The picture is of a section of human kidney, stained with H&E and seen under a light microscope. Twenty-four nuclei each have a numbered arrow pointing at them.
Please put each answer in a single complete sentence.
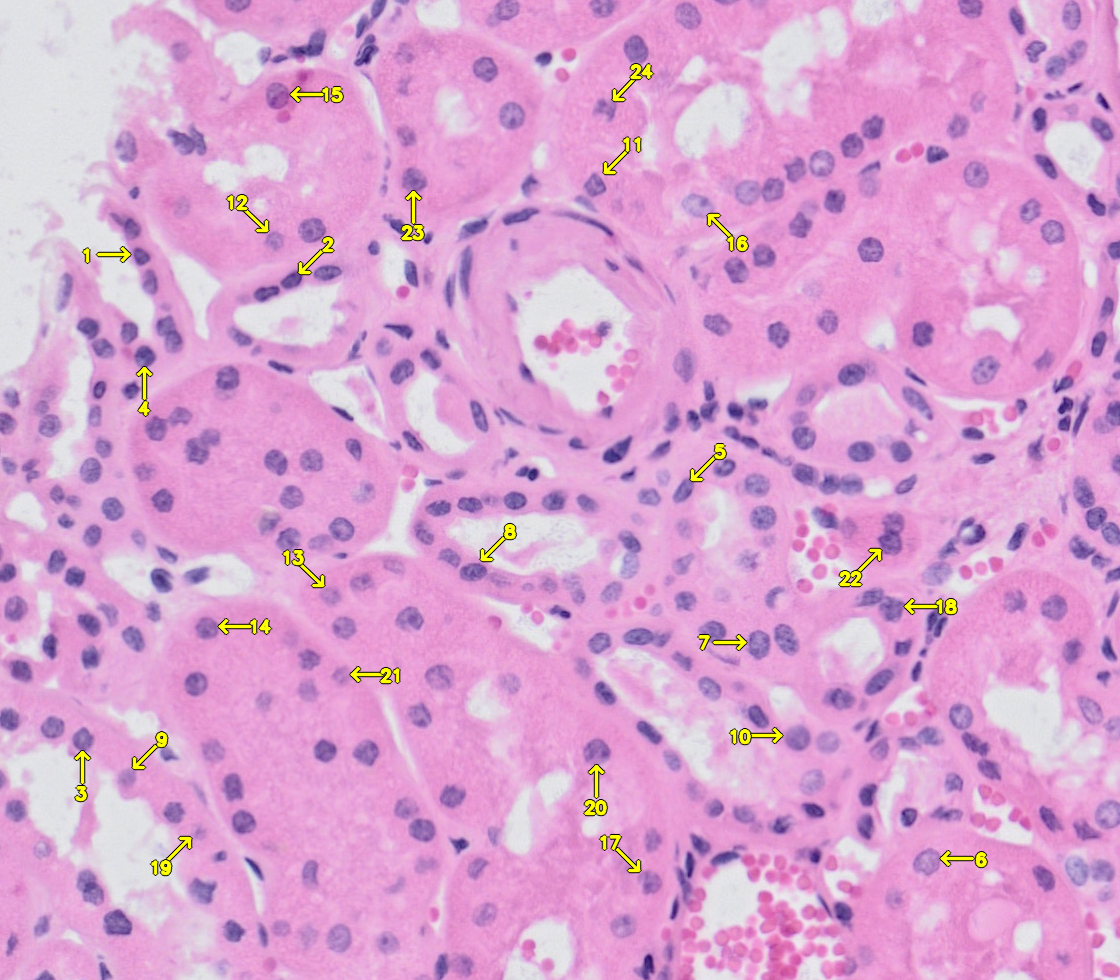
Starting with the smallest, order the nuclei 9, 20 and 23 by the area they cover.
Smallest first, the nuclei run 9, 23, 20.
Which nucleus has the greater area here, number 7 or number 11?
It is nucleus 7, which covers about 1.5 times the area of nucleus 11.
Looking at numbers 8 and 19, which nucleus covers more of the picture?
Nucleus 8 is the larger one, covering about 1.5 times the area of nucleus 19.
